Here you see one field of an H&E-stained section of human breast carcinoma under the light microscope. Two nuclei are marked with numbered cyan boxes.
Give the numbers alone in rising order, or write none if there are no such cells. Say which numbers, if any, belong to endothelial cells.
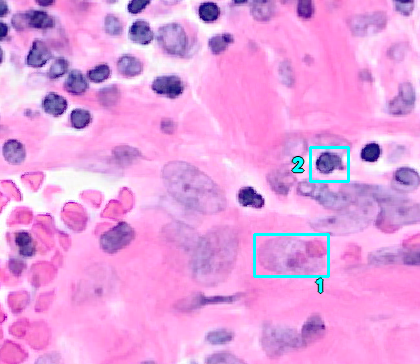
1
